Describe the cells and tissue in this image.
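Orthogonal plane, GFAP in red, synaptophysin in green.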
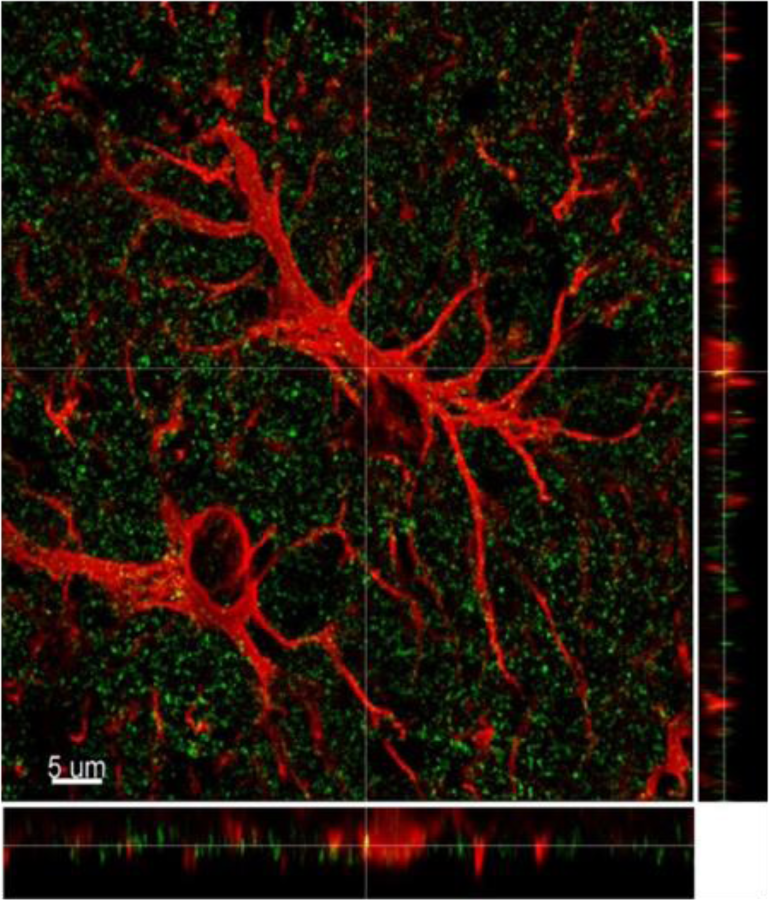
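Astrocytes in neural tissue, each with many radiating, branching red processes, set among a dense field of fine green puncta. One astrocyte at lower left encircles a round dark profile with its processes. Side and bottom strips show the stack seen in depth, with red processes and scattered green puncta, and crosshairs meeting on a yellowish point within a process.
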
